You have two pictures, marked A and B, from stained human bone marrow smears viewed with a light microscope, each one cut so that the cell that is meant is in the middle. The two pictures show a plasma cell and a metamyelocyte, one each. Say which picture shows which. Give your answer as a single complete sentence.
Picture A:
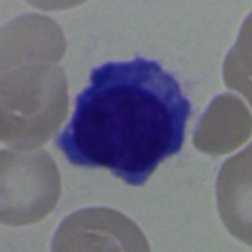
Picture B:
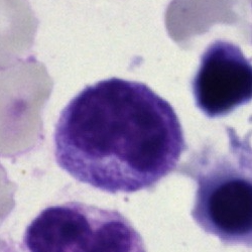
The cell in picture A is a plasma cell, and the one in picture B is a metamyelocyte.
